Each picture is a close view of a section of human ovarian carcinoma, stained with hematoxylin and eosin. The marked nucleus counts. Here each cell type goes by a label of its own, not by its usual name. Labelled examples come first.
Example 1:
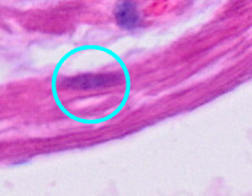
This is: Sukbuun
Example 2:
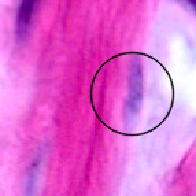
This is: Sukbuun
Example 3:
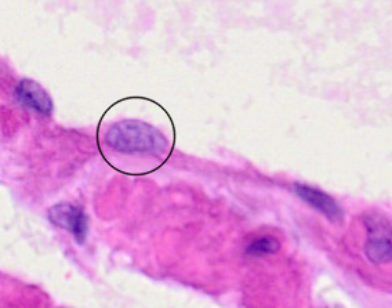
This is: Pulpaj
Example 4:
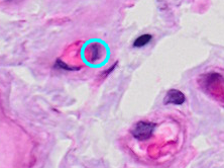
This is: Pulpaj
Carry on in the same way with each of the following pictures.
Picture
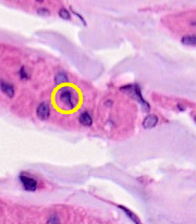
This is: Sukbuun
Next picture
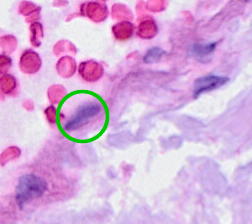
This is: Pulpaj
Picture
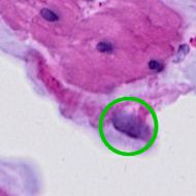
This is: Pulpaj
